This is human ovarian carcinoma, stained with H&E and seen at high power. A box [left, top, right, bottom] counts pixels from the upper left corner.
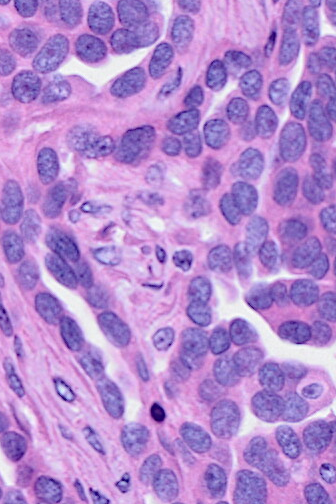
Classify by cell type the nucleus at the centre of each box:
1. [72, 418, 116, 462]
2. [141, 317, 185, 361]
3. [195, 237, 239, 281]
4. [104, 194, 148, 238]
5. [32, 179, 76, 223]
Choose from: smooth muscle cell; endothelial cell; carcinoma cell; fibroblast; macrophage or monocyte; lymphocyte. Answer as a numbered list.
1. fibroblast
2. macrophage or monocyte
3. carcinoma cell
4. fibroblast
5. carcinoma cell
